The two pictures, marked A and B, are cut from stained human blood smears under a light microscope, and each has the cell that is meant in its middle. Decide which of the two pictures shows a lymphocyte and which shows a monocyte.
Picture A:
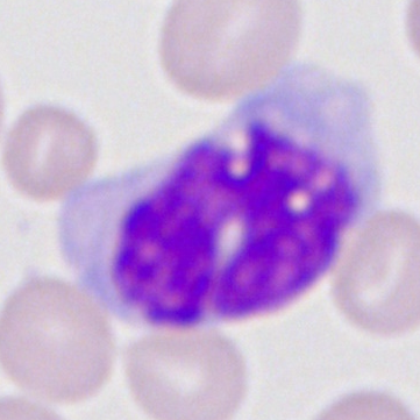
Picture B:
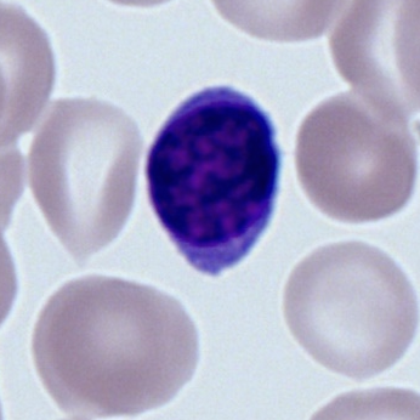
A: monocyte
B: lymphocyte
